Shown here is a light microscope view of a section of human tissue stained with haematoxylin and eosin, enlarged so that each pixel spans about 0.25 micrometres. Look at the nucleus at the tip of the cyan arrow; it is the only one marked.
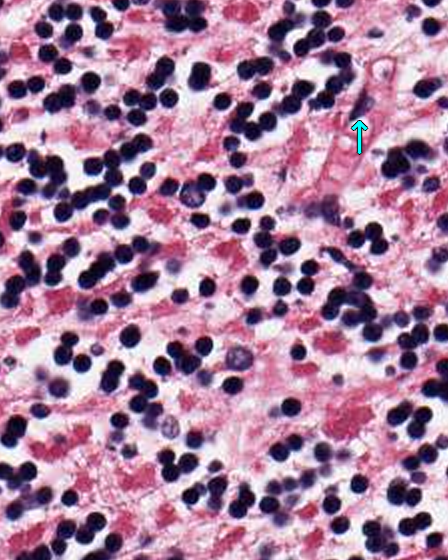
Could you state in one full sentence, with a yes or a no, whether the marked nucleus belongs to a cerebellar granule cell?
No, the marked nucleus is not housed in a cerebellar granule cell but in a supporting cell.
